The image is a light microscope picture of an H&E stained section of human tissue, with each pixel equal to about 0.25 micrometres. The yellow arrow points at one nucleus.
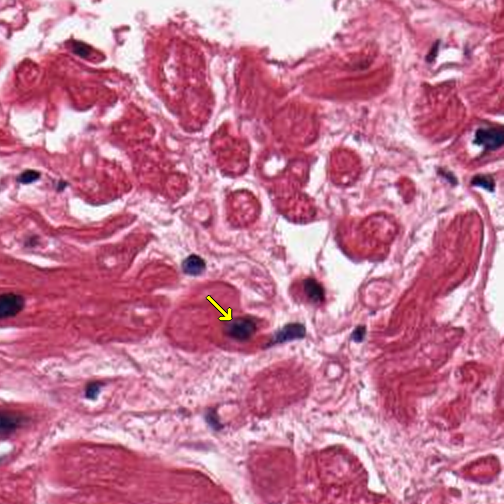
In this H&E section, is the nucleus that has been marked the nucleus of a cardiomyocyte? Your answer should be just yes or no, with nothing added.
yes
